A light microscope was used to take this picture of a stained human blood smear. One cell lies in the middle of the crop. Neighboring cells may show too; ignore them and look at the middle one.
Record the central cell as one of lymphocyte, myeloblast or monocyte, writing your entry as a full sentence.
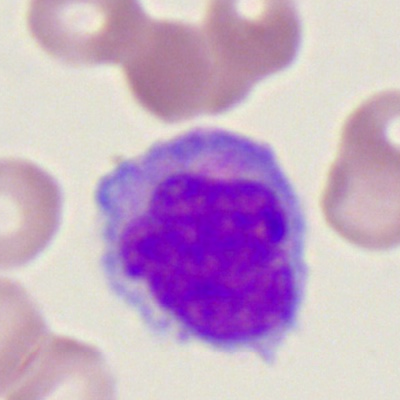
The cell occupying the middle of the crop is a monocyte.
